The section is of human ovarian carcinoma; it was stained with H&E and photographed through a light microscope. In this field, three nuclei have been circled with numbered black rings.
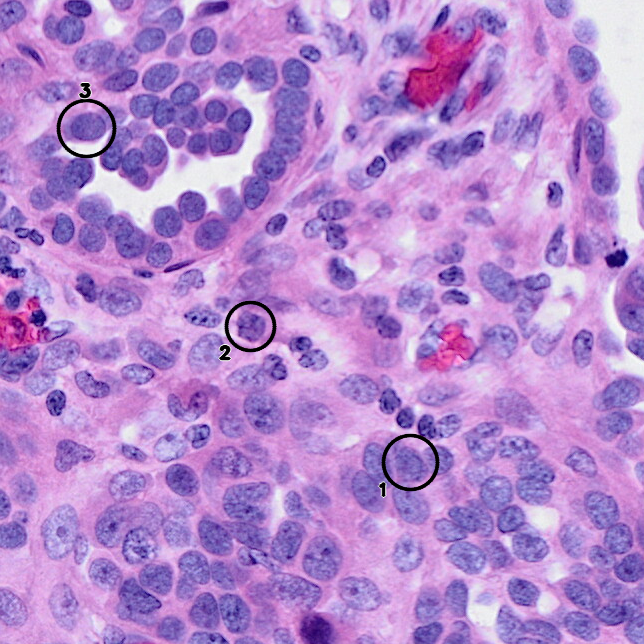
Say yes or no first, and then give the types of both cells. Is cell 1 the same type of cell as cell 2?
No, in contrast to cell 2, which is a macrophage or monocyte, cell 1 is a carcinoma cell.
